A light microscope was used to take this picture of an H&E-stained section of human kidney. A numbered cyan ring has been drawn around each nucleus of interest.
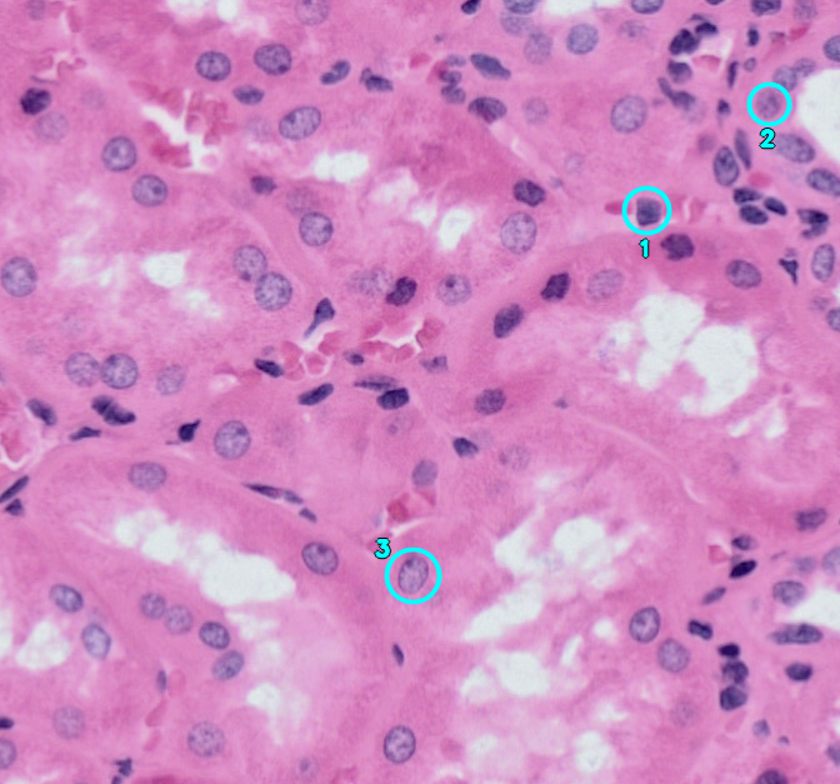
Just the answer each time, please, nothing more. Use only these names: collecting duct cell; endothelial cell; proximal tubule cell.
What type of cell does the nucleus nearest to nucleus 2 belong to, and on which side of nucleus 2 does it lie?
a collecting duct cell above and to the right of nucleus 2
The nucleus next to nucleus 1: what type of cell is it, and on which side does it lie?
a proximal tubule cell, below and to the right of nucleus 1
